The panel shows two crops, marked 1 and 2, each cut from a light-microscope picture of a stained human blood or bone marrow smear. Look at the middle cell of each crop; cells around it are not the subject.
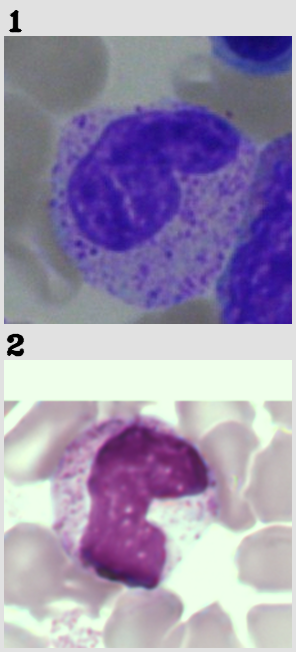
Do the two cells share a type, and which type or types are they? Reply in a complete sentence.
Yes, both crops show band neutrophils in the centre of the field.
